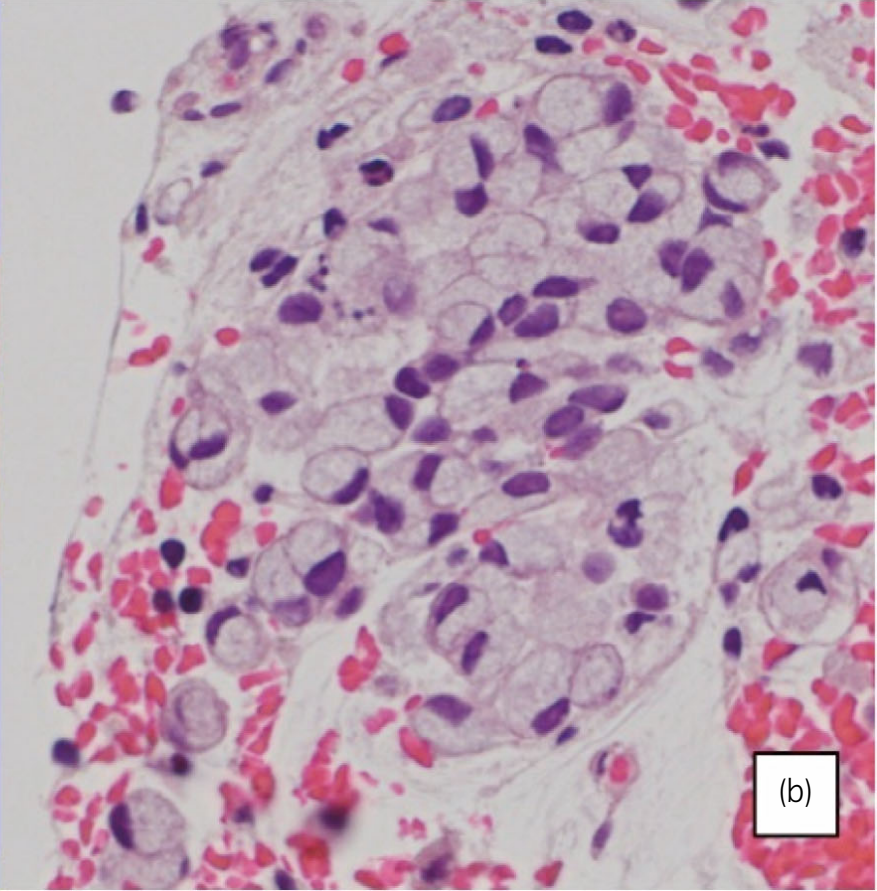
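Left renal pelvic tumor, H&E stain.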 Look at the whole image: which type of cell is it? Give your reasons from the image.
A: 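Many rounded cells have a large pale, finely vacuolated cytoplasm. Their dark nuclei are pushed to one side of the cell and often flattened into a crescent. The cells lie in a loose cluster surrounded by red blood cells.
Conclusion: signet‐ring cell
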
